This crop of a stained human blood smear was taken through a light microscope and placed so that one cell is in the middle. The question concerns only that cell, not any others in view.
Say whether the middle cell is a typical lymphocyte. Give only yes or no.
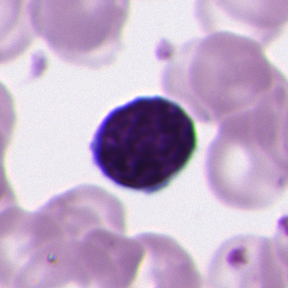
yes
